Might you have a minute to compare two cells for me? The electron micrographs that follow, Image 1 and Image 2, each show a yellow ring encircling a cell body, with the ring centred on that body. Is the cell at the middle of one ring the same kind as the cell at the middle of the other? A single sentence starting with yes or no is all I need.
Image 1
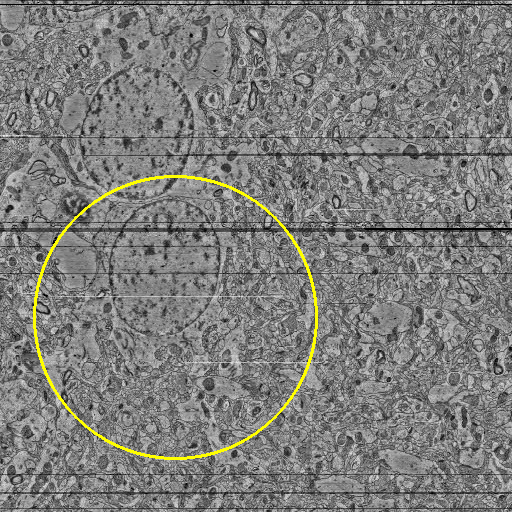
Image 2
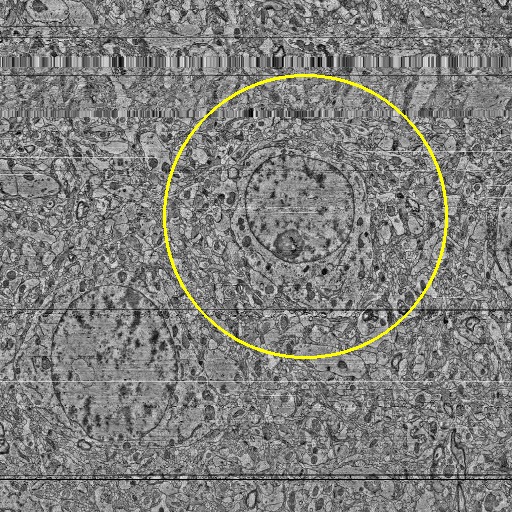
No, the cells in the middle of the two rings are of two separate kinds.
